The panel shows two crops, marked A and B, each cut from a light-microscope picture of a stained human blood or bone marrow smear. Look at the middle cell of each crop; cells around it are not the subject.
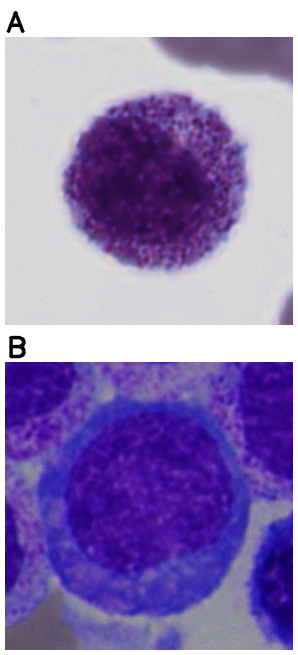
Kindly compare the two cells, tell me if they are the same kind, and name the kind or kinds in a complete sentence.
No, crop A is home to a myelocyte, and crop B to a promyelocyte.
